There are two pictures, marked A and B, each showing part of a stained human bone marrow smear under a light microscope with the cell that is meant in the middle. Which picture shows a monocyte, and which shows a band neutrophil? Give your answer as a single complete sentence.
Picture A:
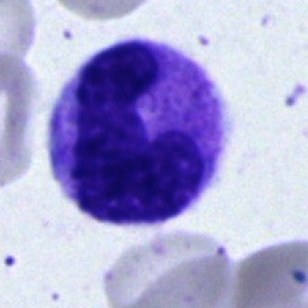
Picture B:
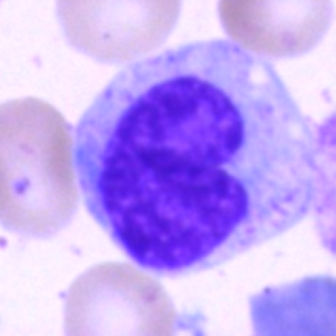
Picture B shows a monocyte, while picture A shows a band neutrophil.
